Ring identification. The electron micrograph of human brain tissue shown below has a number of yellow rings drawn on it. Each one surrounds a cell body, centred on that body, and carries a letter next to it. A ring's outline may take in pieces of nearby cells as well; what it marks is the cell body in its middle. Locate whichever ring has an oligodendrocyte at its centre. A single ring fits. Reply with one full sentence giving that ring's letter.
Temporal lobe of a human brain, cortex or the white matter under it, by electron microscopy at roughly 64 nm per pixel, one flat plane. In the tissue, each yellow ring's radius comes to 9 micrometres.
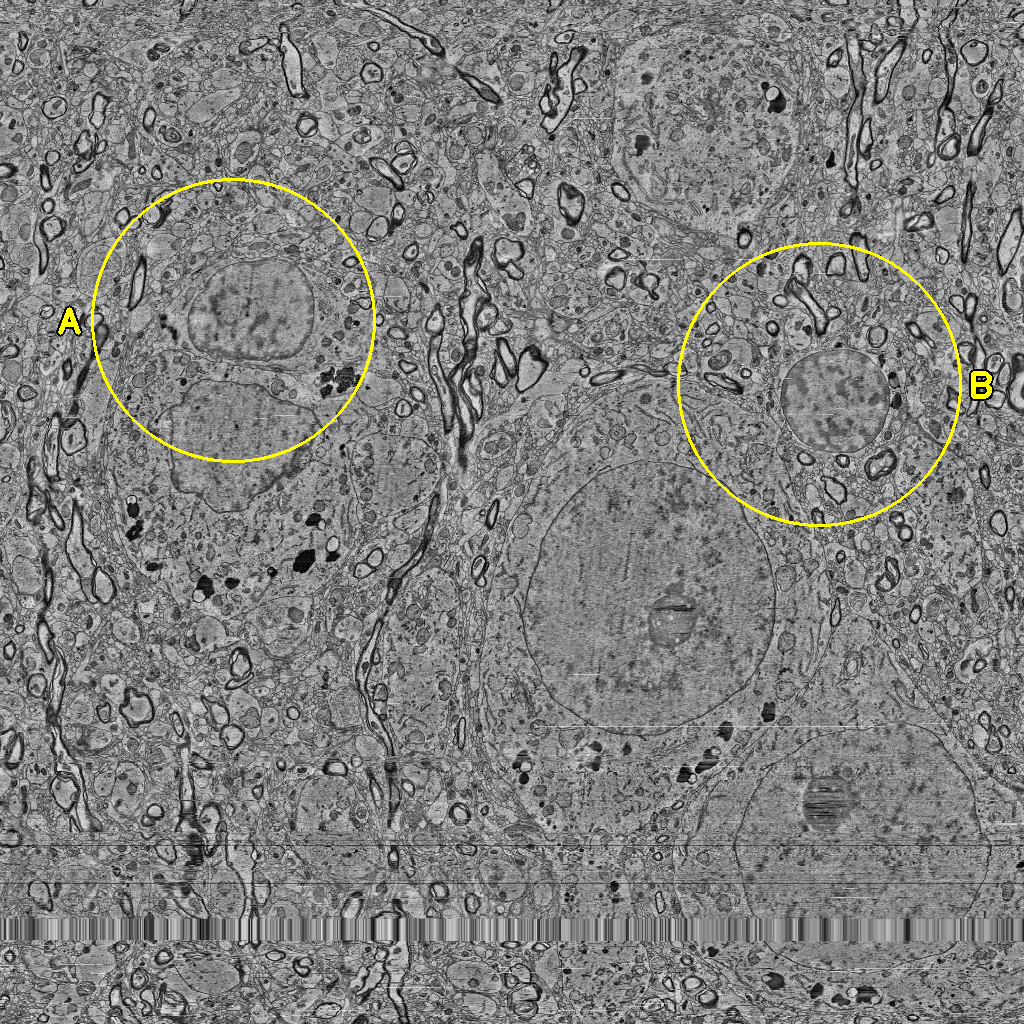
The letter A belongs to the ring centred on a cell of that kind.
